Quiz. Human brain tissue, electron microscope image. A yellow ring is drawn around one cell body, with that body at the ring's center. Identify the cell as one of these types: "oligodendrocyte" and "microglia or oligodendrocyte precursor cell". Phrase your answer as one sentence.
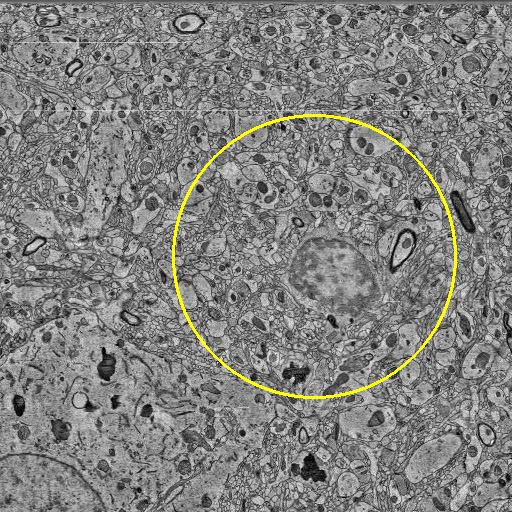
At the center of the ring sits an oligodendrocyte.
